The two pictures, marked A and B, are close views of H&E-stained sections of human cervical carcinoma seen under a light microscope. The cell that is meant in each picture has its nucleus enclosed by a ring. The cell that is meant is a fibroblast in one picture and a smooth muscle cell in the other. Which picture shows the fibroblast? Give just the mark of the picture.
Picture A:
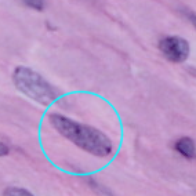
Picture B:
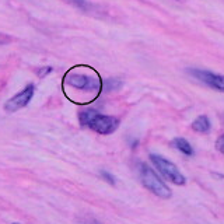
A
